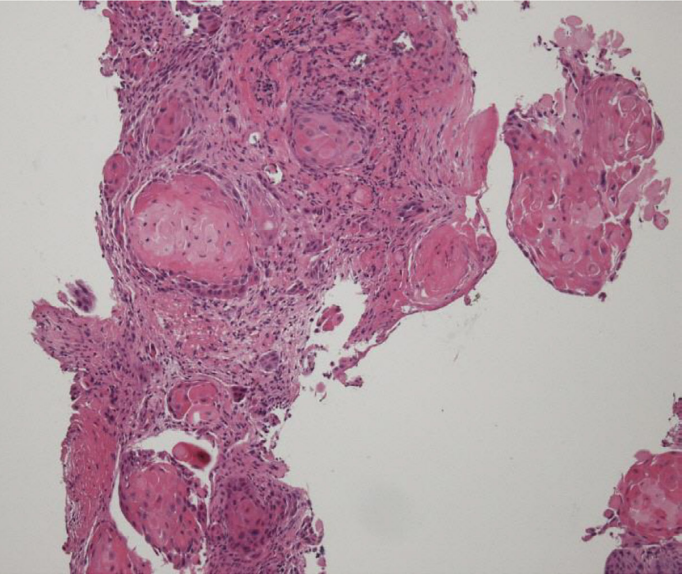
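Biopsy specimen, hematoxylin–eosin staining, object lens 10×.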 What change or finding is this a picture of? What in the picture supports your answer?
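Rounded nests of large polygonal cells with pink cytoplasm lie scattered within a cellular stroma. Some nests have concentric pink centres, like laminated whorls. Nests are separated by spindle-cell stroma rather than forming a surface layer. The answer: well‐differentiated invasive squamous cell carcinoma.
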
